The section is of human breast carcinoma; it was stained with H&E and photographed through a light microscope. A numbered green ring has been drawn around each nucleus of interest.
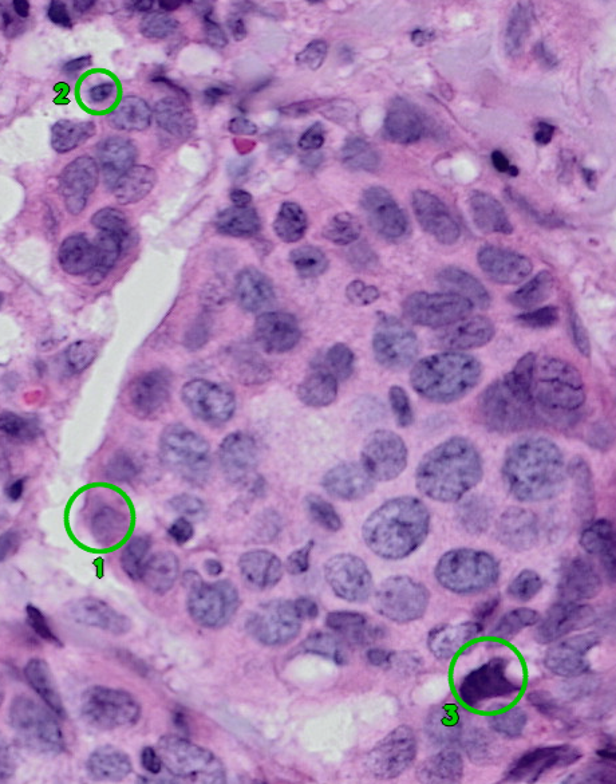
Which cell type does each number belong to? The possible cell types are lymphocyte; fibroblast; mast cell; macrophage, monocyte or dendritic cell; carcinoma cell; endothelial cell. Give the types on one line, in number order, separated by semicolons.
carcinoma cell; lymphocyte; carcinoma cell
